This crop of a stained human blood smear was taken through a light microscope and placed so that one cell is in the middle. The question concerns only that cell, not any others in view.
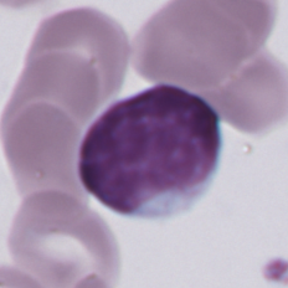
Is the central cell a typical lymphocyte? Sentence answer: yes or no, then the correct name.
Yes, the middle cell is properly termed a typical lymphocyte.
